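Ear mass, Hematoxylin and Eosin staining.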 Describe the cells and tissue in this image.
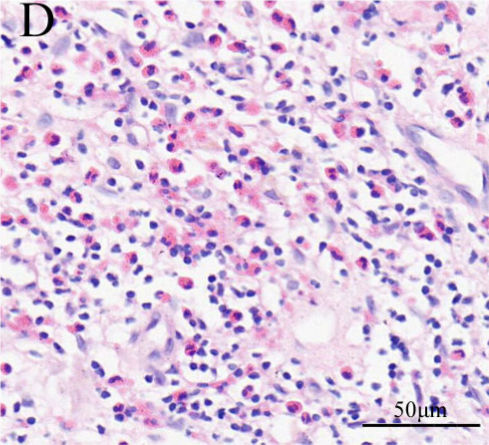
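A dense mixed inflammatory infiltrate fills loose pale stroma, with many cells having bright red-orange granular cytoplasm and lobed nuclei scattered among small round dark-nucleated lymphocytes. Some elongated spindle-shaped nuclei of stromal and vessel-lining cells lie between them.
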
